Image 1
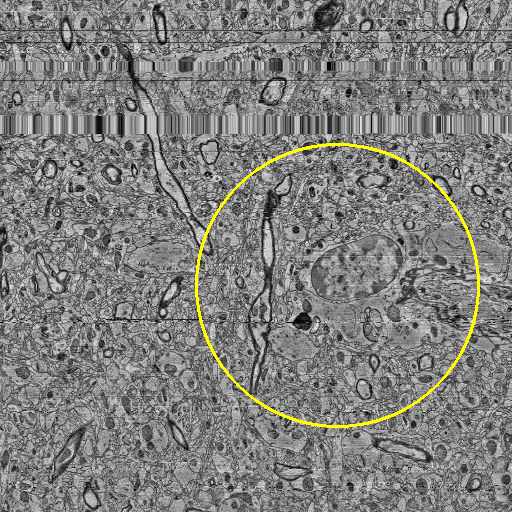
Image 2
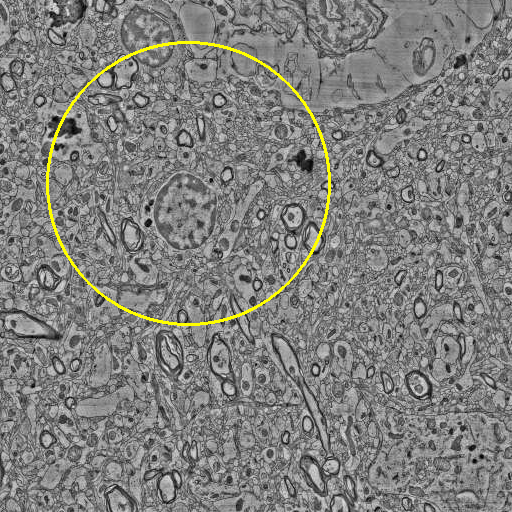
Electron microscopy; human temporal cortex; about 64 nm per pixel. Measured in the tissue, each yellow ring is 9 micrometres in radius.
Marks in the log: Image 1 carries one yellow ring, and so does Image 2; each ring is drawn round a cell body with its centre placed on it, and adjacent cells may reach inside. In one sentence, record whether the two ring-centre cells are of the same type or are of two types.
The two cells at the ring centres, one in each image, are of the same type.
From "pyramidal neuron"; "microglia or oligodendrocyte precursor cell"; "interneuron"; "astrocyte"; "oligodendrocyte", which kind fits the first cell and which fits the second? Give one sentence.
The cell in the first picture is a microglial cell or oligodendrocyte precursor cell, and so is the one in the second.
